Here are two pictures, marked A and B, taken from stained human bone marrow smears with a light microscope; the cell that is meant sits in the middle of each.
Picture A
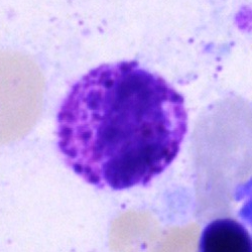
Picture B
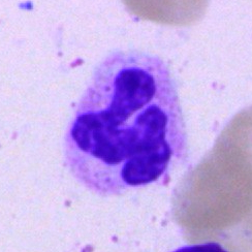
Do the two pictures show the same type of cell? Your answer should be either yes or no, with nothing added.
no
